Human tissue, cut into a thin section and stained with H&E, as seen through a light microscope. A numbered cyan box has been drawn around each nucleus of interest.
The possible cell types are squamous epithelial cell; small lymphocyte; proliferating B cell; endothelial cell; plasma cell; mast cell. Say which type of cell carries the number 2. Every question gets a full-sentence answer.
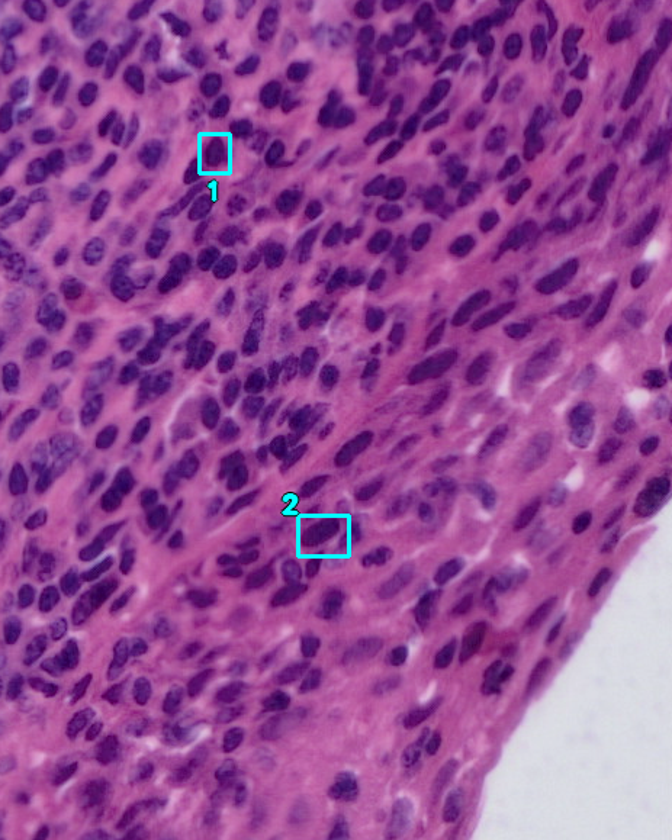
As for number 2, that cell is a squamous epithelial cell.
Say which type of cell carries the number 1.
What the number 1 marks in this field is a plasma cell.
